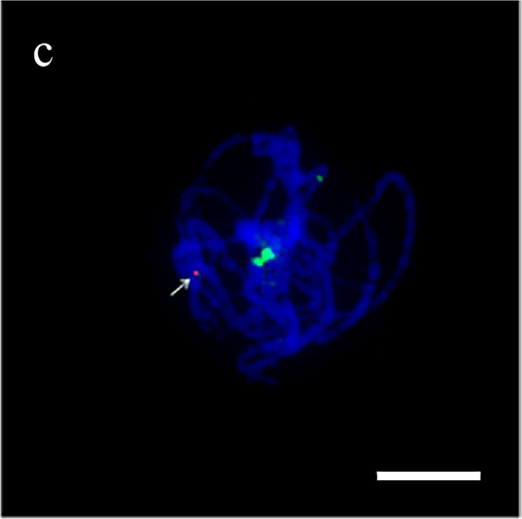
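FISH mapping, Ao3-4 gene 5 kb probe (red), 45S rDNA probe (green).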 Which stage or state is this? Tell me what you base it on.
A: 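Long, thick, thread-like chromosomes loop through the nucleus. The threads are continuous and individually traceable, not diffuse chromatin. The answer: meiotic pachytene.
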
